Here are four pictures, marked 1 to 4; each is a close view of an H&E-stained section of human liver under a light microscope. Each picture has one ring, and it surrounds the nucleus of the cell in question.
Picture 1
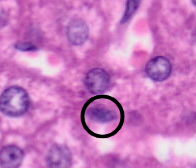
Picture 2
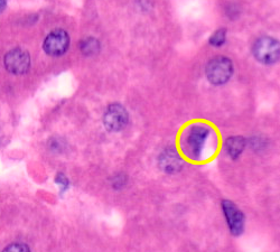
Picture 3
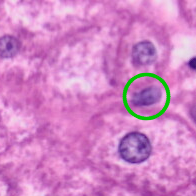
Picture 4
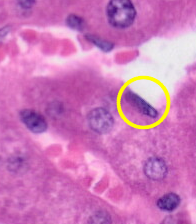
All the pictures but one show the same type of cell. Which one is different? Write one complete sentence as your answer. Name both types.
The others show endothelial cells, but picture 1 shows a “fibroblast or stellate cell”.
